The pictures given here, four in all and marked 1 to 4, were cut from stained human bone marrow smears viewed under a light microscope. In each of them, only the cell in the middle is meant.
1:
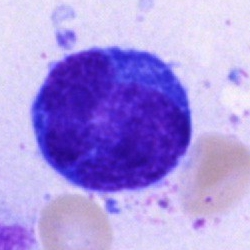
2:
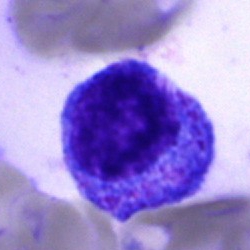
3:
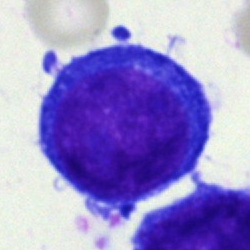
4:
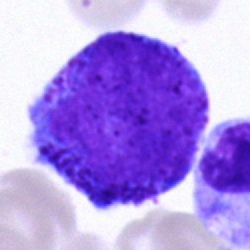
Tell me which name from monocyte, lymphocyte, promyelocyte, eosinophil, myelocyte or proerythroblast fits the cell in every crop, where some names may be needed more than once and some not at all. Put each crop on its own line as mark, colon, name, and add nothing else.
1: proerythroblast
2: promyelocyte
3: proerythroblast
4: promyelocyte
